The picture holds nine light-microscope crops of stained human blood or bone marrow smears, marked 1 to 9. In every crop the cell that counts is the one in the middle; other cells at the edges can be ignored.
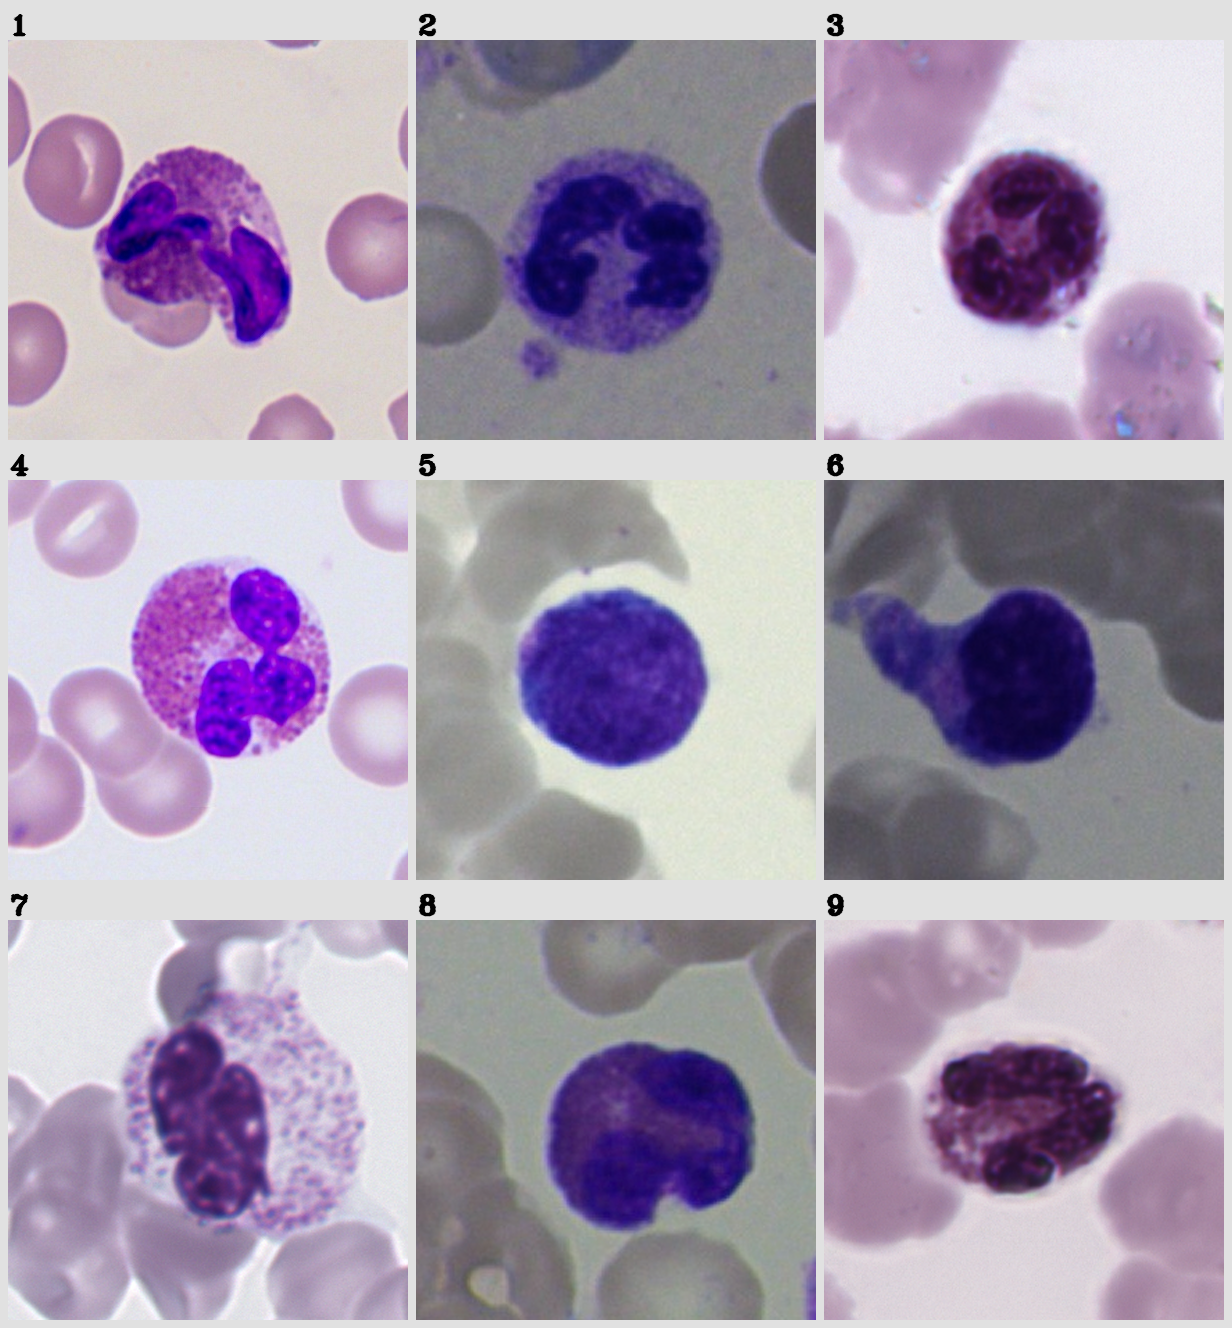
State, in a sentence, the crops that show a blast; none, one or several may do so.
No crop, from the first to the last, shows a blast.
